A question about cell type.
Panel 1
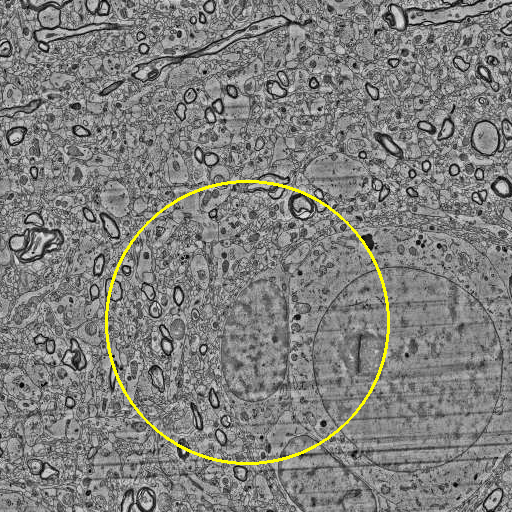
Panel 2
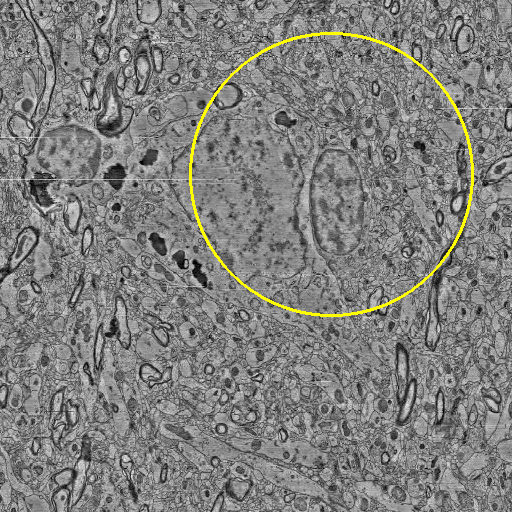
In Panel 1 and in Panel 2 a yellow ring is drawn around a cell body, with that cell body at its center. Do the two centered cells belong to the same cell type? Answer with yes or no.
yes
